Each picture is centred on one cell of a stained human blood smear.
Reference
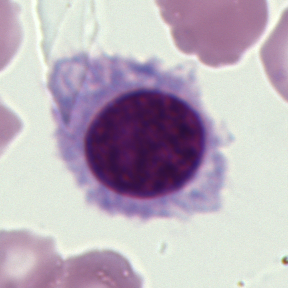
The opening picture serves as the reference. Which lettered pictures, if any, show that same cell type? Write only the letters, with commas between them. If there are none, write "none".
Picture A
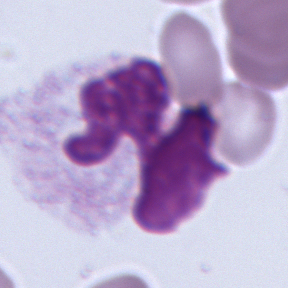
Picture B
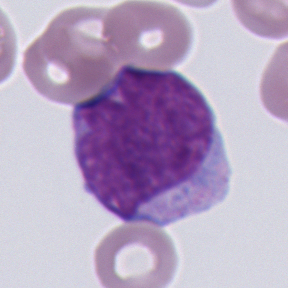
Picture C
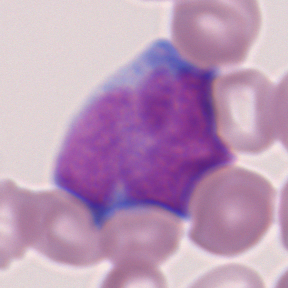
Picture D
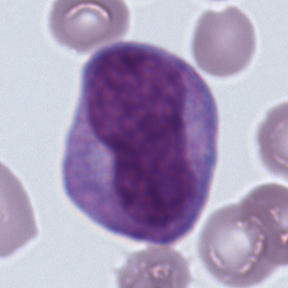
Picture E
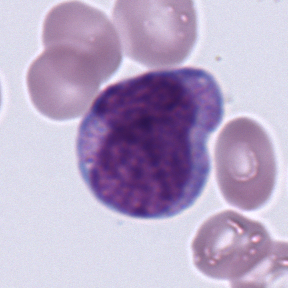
none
